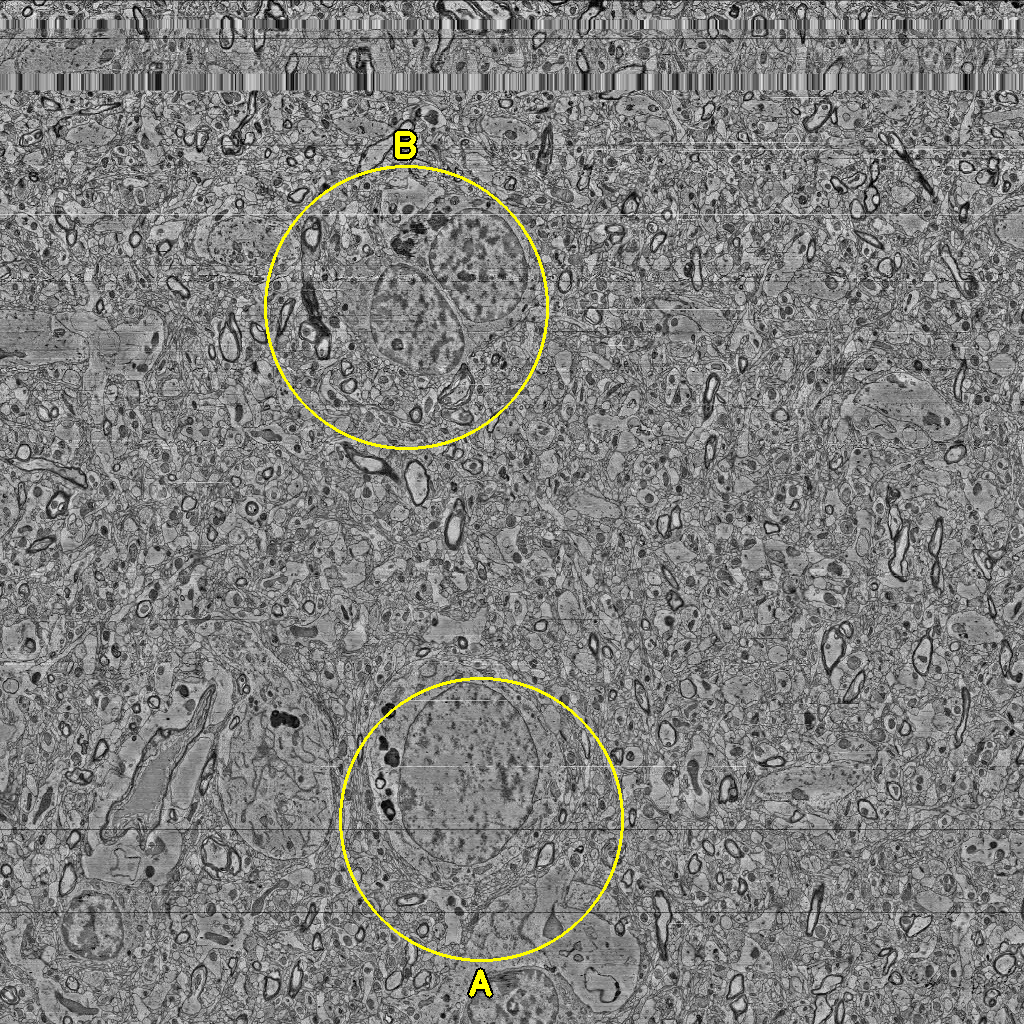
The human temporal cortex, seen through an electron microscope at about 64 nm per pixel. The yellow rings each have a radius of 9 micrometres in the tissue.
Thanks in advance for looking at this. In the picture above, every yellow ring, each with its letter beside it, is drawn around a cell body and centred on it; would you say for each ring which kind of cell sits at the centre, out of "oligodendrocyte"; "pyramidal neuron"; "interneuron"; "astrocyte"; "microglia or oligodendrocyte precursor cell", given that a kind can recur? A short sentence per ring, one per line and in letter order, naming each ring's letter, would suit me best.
The cell body in ring A belongs to a pyramidal neuron.
The cell body in ring B belongs to an oligodendrocyte.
